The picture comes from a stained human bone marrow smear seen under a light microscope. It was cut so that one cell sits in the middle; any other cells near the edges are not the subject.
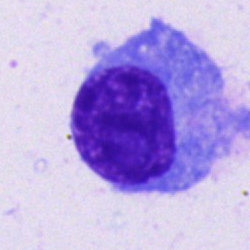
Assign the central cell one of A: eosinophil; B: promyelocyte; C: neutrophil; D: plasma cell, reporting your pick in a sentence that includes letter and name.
Since the cell in the centre is a plasma cell, the correct option is D.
